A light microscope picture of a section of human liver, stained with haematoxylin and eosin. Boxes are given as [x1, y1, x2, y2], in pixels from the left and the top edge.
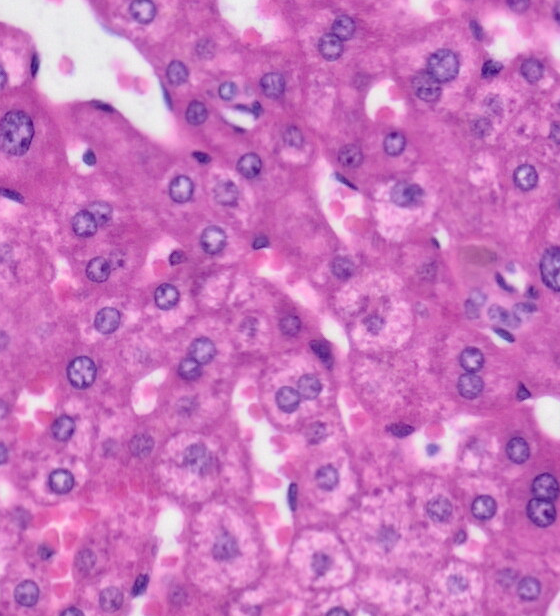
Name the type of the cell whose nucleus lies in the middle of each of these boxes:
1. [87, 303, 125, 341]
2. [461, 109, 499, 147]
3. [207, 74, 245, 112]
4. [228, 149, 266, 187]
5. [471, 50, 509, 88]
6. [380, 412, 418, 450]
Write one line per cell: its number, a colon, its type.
1: hepatocyte
2: hepatocyte
3: cholangiocyte
4: hepatocyte
5: fibroblast or stellate cell
6: fibroblast or stellate cell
